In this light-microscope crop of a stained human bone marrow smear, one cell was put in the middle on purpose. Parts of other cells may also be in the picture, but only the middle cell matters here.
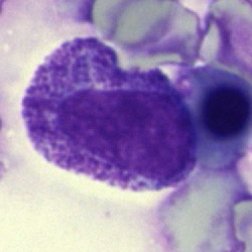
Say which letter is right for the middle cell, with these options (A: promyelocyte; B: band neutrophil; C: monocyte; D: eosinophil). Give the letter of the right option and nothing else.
A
